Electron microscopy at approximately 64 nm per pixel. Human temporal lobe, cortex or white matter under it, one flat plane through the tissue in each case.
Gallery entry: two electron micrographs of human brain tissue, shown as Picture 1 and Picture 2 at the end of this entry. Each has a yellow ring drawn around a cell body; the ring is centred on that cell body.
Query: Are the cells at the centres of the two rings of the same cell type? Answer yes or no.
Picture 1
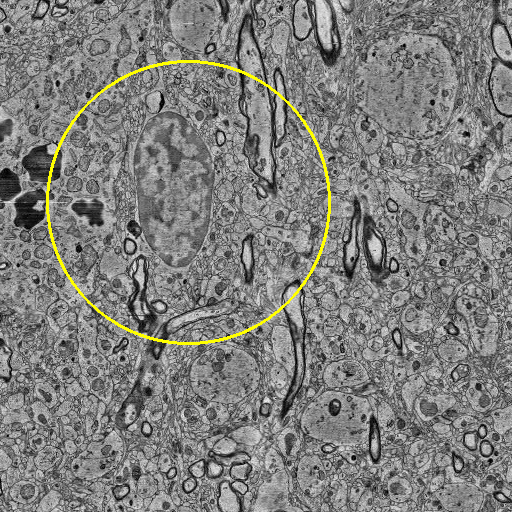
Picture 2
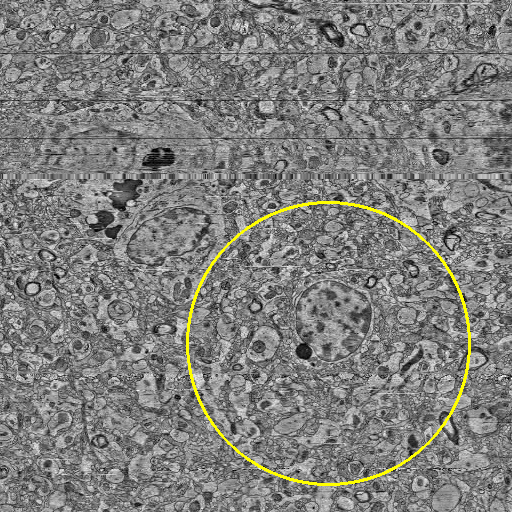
yes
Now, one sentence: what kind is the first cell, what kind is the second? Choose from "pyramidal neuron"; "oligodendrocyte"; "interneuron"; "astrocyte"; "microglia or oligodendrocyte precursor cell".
Both the first and the second picture show a microglial cell or oligodendrocyte precursor cell in the ring.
